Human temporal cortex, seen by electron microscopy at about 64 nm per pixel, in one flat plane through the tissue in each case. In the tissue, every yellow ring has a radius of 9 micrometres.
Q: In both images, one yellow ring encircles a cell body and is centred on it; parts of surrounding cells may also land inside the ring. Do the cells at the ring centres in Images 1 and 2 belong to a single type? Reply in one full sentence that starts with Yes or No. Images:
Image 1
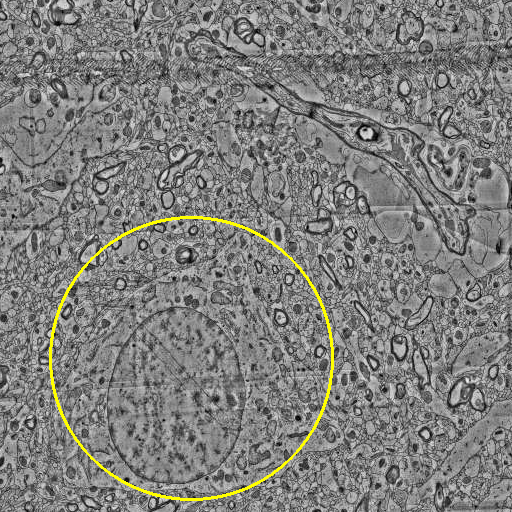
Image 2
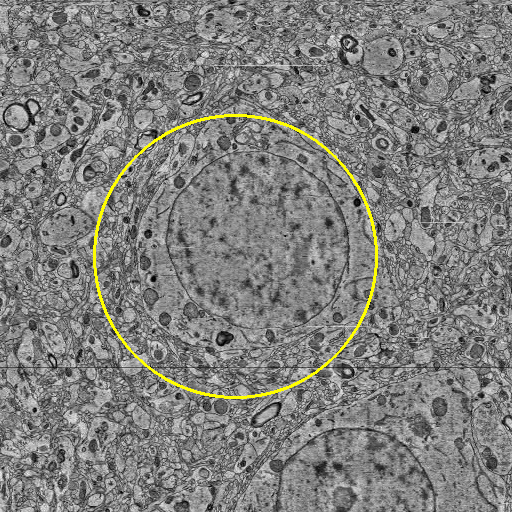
No, the cells at the ring centres in Images 1 and 2 are of two types.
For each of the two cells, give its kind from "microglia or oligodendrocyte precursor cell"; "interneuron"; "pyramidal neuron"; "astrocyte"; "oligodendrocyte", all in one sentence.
The first picture has an interneuron in its ring, the second has a pyramidal neuron.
